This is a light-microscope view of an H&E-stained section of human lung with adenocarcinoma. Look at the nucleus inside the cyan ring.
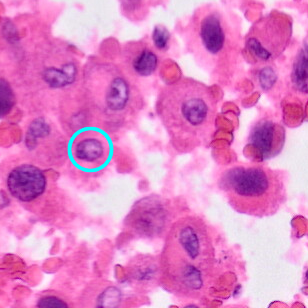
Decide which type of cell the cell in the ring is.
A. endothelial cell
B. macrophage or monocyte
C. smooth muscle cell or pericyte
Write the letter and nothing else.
B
